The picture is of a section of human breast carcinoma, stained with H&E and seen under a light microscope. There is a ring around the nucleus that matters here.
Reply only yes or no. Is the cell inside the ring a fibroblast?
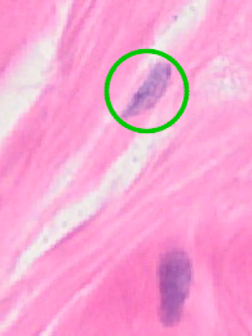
yes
